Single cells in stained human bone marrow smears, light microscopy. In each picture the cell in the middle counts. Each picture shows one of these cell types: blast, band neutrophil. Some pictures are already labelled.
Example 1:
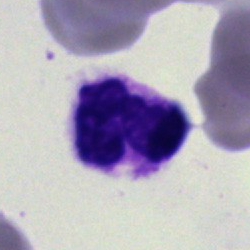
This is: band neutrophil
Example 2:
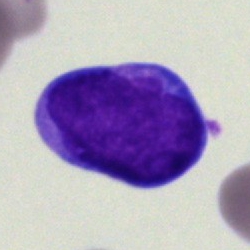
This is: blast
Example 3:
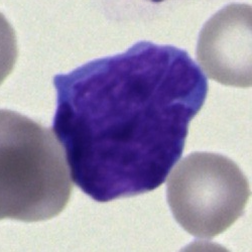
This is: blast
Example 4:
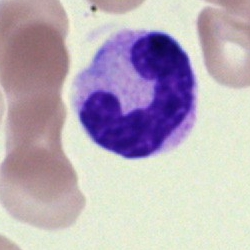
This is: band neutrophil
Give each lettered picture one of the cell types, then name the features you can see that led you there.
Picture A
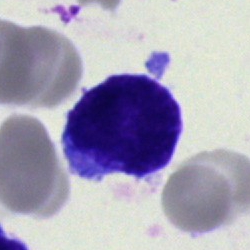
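Label: blast. The nucleus fills most of the cell.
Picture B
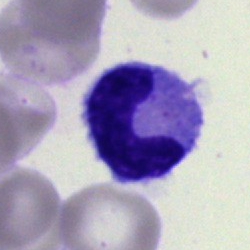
Label: band neutrophil. The nucleus is curved into a C shape whose hollow opens toward the right.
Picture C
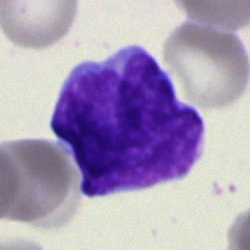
Label: blast. Cytoplasm is very scant, at most a thin rim around the nucleus.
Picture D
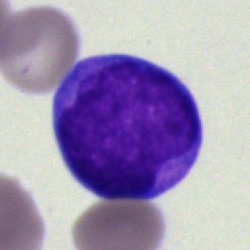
Label: blast. The chromatin is finely textured rather than clumped into coarse blocks.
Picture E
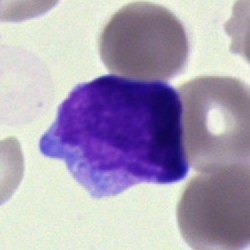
Label: blast. The nucleus fills most of the cell and lies toward its upper right part.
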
